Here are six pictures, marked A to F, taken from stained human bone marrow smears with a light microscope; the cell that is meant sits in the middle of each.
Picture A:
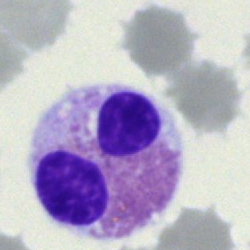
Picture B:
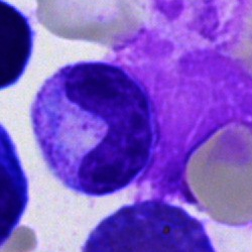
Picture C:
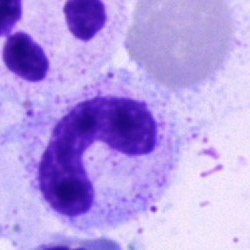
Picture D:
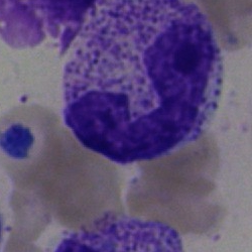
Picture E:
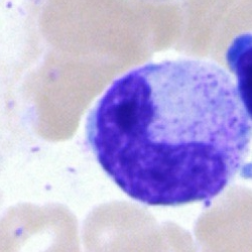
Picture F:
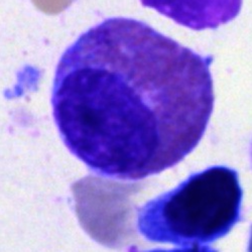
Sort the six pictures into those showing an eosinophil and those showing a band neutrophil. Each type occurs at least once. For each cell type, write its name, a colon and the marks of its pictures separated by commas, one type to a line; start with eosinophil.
eosinophil: A, F
band neutrophil: B, C, D, E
